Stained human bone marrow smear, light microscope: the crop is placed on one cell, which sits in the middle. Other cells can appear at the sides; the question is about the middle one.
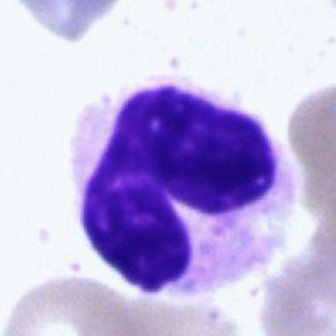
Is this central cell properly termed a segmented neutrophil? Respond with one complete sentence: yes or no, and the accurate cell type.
No, the cell in the centre is a band neutrophil instead of a segmented neutrophil.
